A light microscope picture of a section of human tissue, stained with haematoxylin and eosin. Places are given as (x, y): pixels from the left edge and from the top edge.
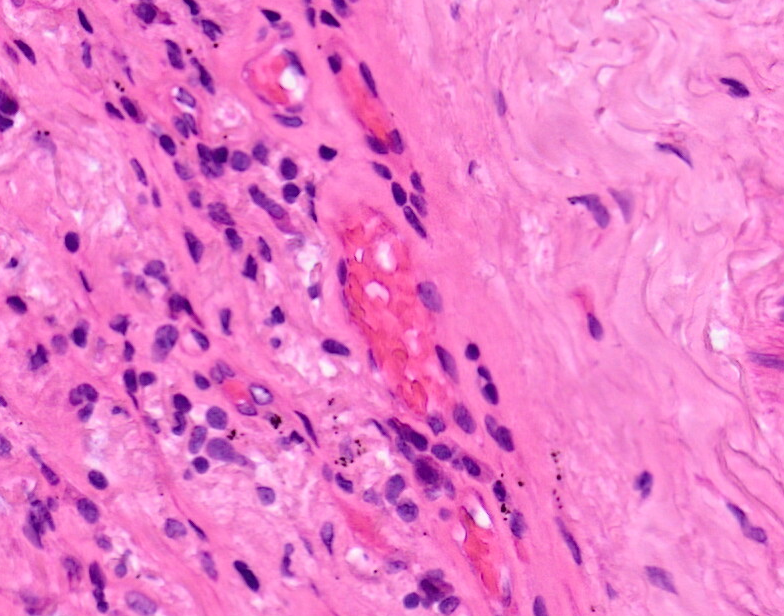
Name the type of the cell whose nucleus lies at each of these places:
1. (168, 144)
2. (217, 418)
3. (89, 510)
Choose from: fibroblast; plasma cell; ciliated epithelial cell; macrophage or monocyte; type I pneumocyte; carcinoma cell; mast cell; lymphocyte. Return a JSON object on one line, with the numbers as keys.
{"1": "lymphocyte", "2": "lymphocyte", "3": "plasma cell"}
